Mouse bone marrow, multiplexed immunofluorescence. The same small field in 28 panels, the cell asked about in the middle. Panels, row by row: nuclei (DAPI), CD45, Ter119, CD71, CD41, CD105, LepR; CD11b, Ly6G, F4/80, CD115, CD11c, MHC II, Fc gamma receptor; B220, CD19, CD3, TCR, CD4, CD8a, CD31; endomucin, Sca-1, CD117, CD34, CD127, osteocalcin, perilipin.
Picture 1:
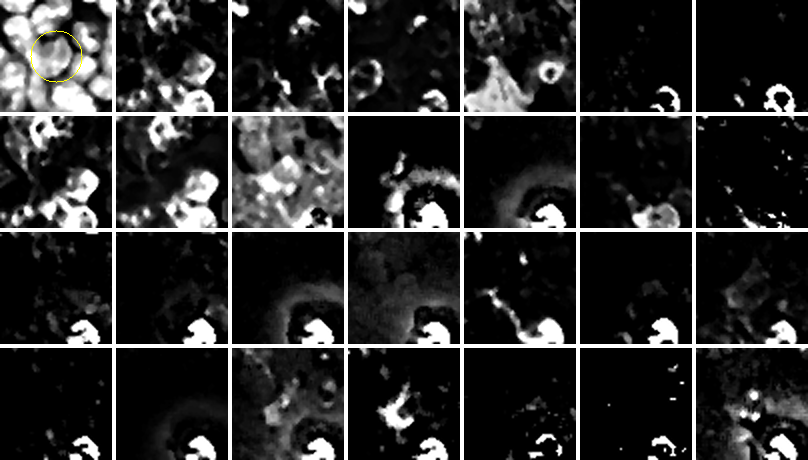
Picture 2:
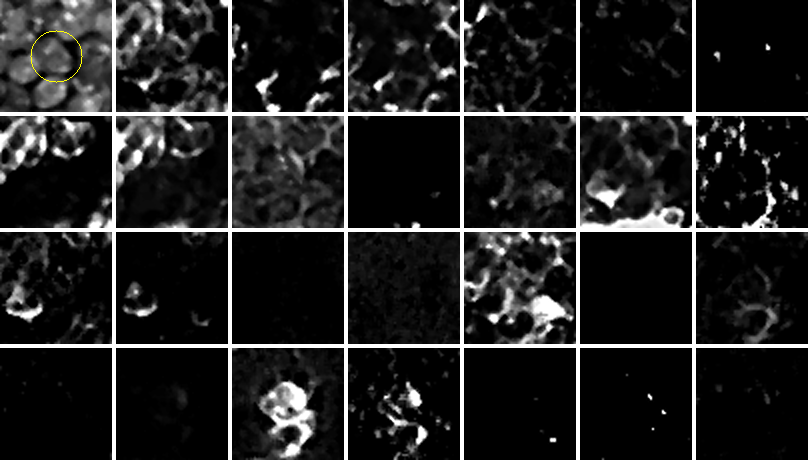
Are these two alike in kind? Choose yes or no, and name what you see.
Yes. Common myeloid progenitors.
